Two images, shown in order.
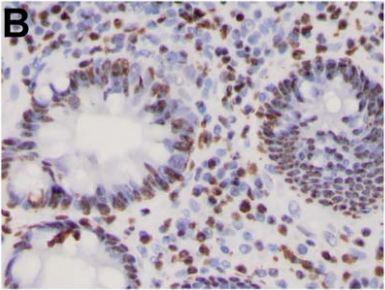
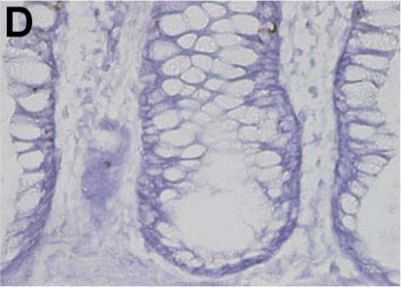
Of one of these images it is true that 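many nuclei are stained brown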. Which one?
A: The first image.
